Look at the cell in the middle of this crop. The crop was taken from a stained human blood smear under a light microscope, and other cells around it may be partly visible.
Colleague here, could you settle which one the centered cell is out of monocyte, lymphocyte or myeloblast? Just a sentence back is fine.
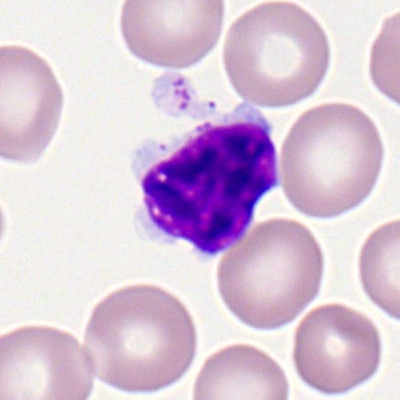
Located at the centre of the crop is a lymphocyte.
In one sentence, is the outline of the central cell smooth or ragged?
The cell shows an uneven border, formed by ragged areas or by outward projections.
